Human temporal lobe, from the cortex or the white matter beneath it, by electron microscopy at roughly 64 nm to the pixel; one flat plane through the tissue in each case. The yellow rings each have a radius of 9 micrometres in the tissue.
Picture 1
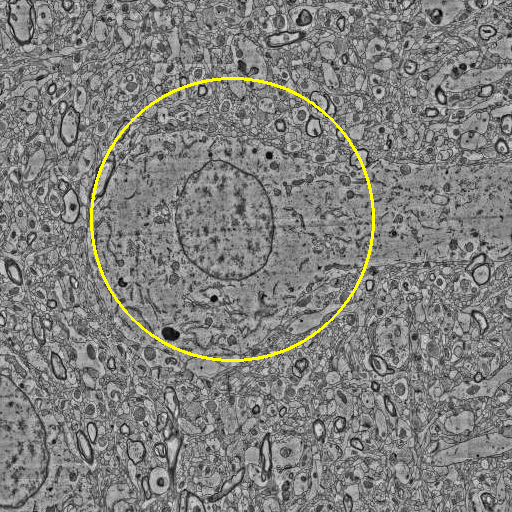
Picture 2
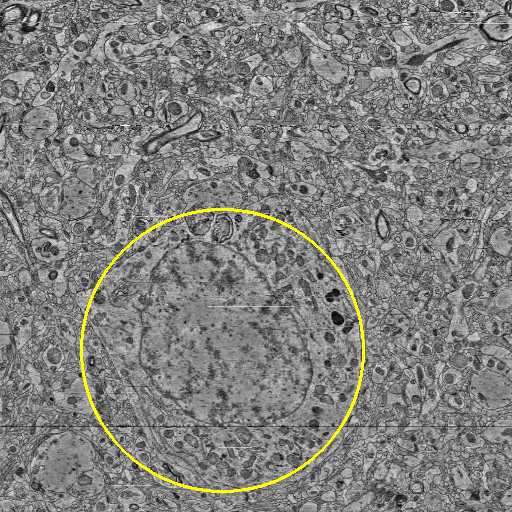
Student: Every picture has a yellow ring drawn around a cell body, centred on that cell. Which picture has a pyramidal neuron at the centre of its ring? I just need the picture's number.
1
